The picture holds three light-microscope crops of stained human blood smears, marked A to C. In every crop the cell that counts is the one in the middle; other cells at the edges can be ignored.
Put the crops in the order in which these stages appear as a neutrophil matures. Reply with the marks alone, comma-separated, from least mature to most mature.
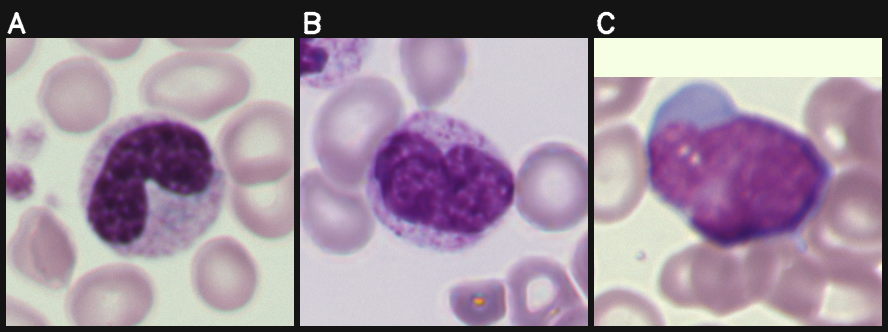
C, B, A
